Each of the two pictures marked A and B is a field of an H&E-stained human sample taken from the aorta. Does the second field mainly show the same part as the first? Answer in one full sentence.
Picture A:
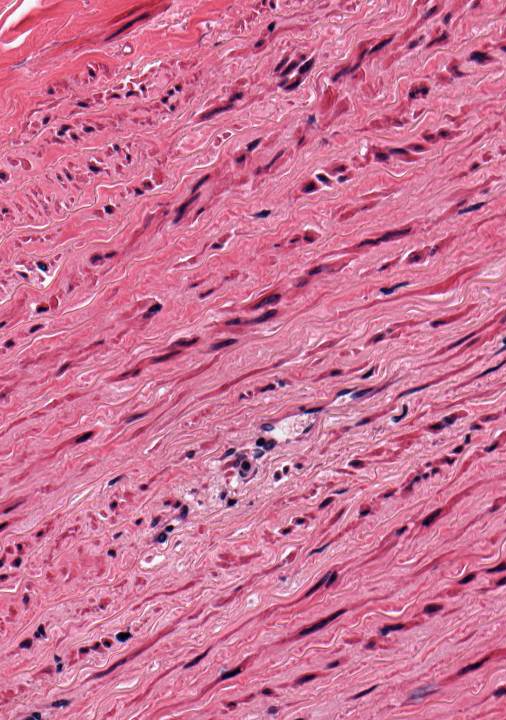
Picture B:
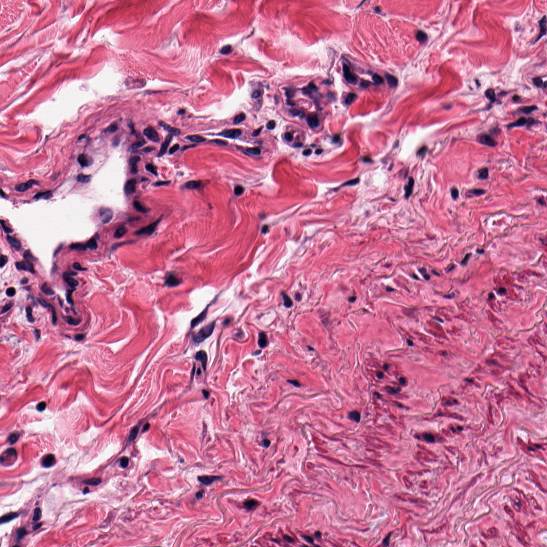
No, they differ: picture A mainly shows the tunica media, and picture B mainly shows the tunica adventitia.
